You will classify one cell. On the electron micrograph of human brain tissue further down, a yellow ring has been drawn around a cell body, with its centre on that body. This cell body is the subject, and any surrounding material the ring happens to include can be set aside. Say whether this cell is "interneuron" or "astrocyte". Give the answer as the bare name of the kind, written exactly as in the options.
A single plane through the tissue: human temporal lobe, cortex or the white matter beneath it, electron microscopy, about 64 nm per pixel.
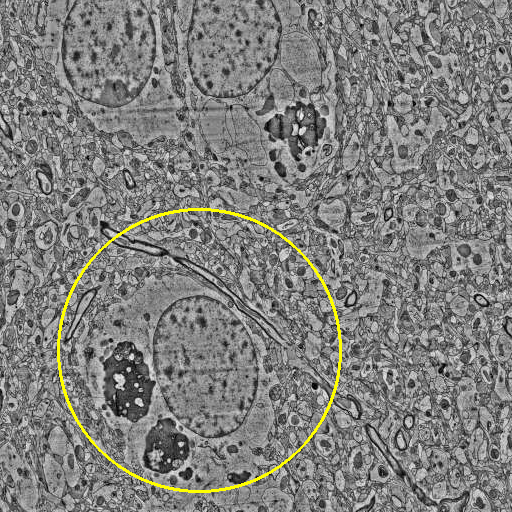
astrocyte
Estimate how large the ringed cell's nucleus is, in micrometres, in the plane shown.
In this plane, approximately 9 by 7 micrometers.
